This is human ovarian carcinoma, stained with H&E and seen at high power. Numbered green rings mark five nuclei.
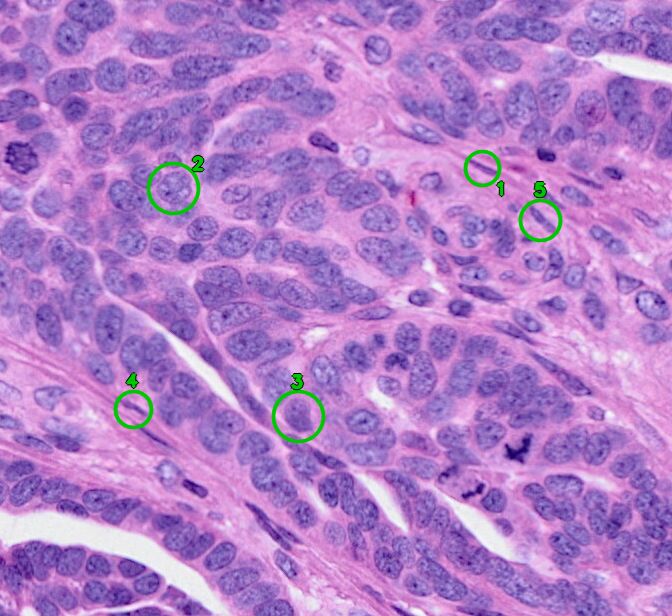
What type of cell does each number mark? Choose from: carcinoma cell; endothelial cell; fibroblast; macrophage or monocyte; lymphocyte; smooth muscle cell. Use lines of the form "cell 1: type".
cell 1: fibroblast
cell 2: carcinoma cell
cell 3: carcinoma cell
cell 4: fibroblast
cell 5: fibroblast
